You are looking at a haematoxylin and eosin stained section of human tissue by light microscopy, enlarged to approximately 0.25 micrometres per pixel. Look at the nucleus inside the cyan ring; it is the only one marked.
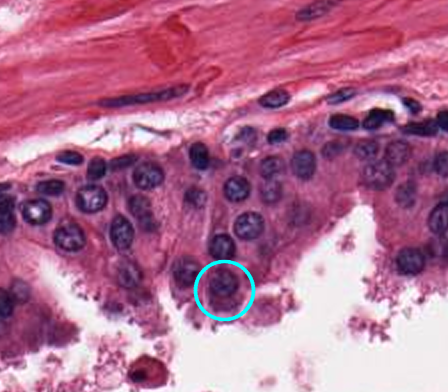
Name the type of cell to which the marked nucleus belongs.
prostate gland luminal cell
